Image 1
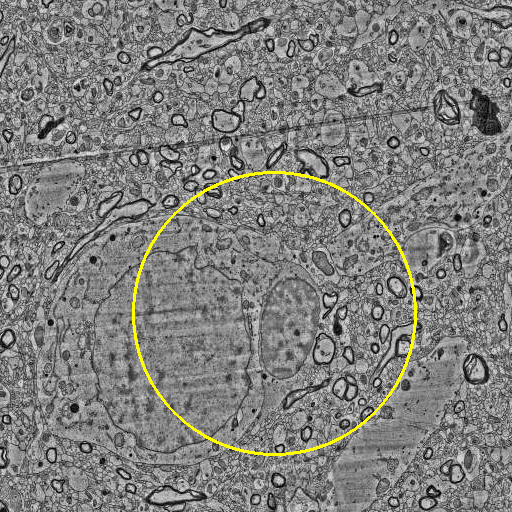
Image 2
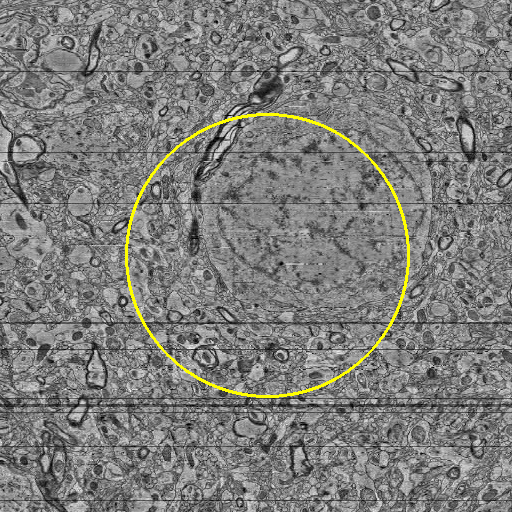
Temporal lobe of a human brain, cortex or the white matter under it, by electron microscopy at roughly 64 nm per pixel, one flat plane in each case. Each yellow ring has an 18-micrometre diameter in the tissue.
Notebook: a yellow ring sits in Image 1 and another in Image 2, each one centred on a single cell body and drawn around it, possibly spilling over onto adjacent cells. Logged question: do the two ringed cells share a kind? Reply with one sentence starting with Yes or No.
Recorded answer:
No, the centre cells inside the rings of Image 1 and Image 2 are of two kinds.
